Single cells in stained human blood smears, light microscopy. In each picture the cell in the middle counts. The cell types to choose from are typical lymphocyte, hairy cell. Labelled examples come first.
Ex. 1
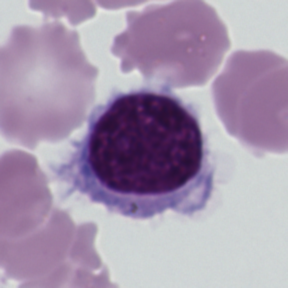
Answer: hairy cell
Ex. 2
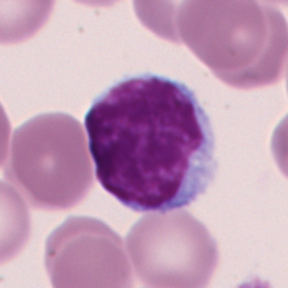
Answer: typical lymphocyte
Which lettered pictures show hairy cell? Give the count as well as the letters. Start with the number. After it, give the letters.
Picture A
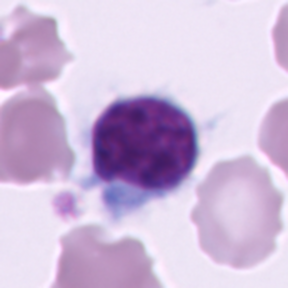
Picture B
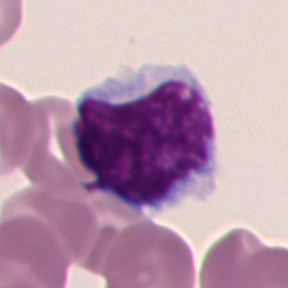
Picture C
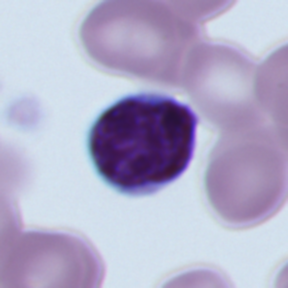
Count: 1 (A)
